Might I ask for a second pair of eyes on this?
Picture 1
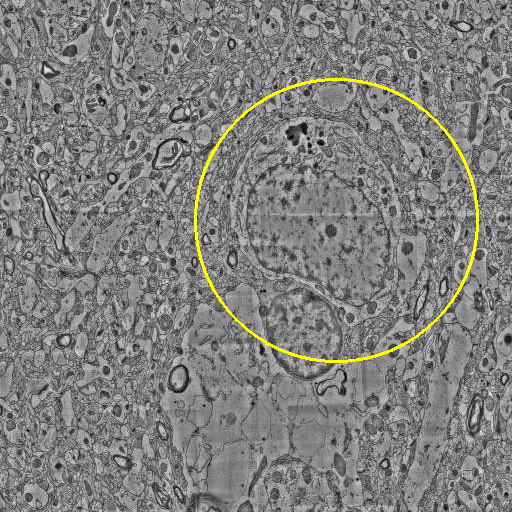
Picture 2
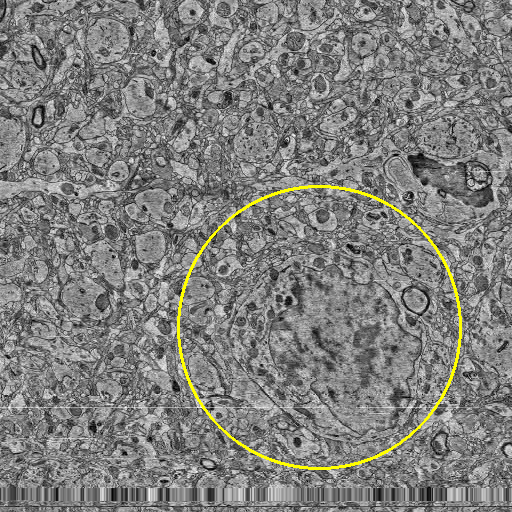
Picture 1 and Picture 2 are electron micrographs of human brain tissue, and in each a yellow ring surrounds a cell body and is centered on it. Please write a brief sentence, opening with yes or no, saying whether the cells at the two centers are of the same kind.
Yes, the cells are of the same kind.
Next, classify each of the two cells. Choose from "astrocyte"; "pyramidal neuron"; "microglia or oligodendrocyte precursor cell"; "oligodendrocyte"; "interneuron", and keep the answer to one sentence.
Each one of the two ringed cells is an interneuron.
